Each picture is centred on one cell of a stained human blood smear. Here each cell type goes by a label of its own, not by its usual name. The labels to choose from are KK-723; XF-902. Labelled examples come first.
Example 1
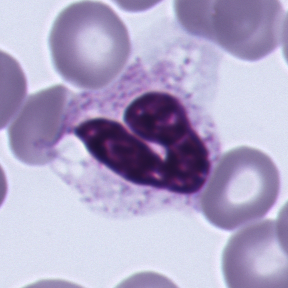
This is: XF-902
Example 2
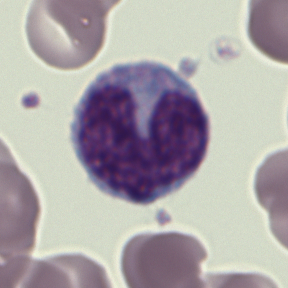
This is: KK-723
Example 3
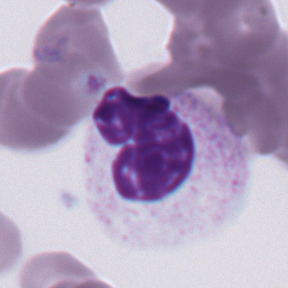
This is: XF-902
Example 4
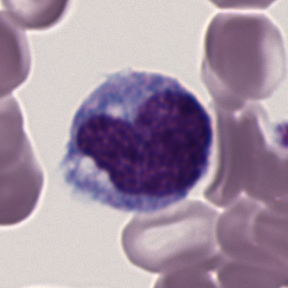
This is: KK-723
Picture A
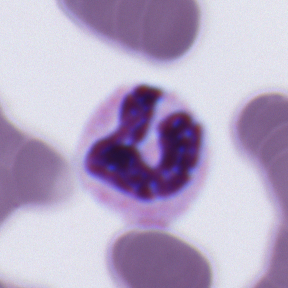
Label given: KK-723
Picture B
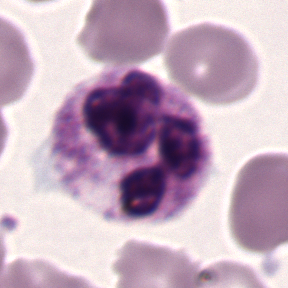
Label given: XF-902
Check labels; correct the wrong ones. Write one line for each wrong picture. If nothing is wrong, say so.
A: XF-902, not KK-723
